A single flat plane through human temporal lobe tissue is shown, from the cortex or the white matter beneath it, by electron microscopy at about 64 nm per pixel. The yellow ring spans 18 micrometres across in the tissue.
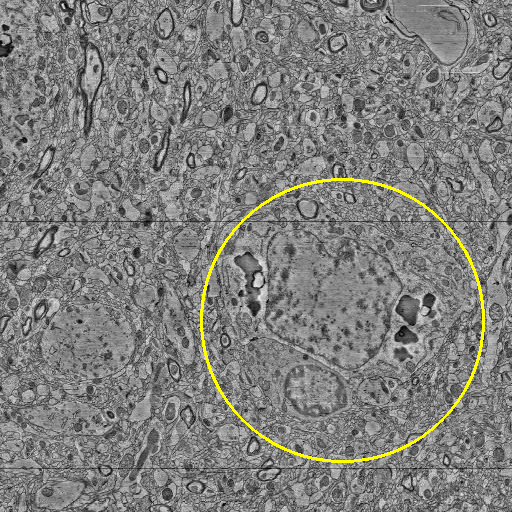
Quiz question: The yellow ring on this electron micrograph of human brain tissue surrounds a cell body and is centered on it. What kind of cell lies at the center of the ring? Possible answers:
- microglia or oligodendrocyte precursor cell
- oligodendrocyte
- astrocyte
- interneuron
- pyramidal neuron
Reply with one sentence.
The ring's center lies on an interneuron.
